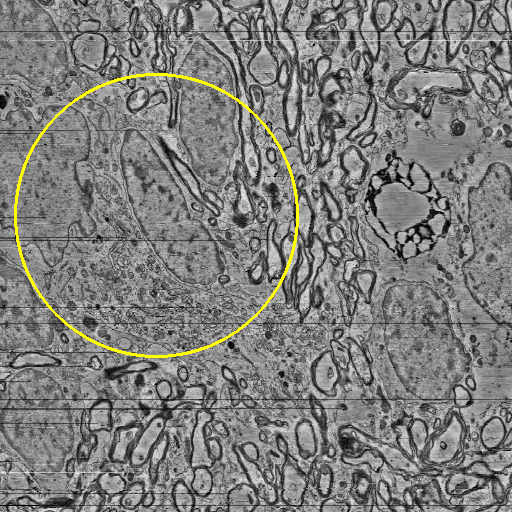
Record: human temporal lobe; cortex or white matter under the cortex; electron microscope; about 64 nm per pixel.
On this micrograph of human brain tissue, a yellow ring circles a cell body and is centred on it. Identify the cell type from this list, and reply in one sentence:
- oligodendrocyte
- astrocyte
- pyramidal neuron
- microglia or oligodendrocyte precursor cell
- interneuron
The cell at the centre is a microglial cell or oligodendrocyte precursor cell.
